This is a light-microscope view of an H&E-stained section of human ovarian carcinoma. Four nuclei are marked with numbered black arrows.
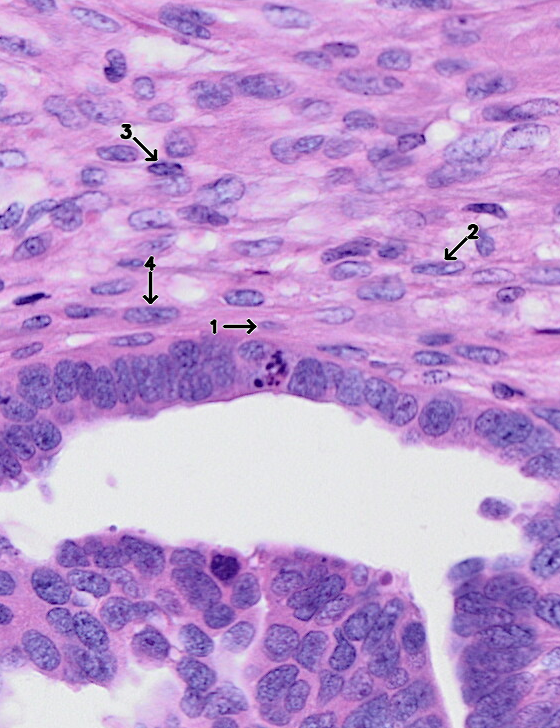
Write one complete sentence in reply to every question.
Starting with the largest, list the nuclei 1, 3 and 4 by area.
Going from the biggest nucleus down to the smallest gives 4, 3, 1.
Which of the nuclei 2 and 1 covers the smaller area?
The smaller nucleus is 1, and 2 covers roughly 2.5 times its area.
